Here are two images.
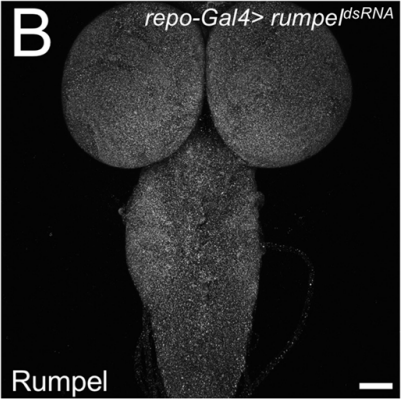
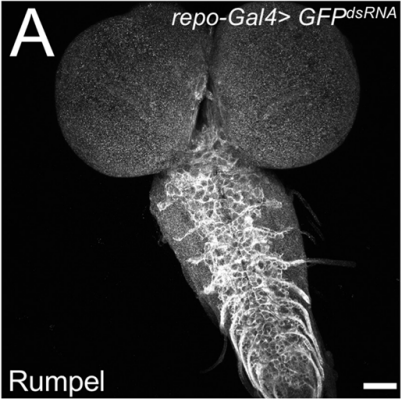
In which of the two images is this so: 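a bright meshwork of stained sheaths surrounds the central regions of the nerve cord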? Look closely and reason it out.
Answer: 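The second image. First image: the brain and nerve cord show only a faint, even grainy signal without a meshwork. Second image: the nerve cord shows a bright network of sheaths and strands.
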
